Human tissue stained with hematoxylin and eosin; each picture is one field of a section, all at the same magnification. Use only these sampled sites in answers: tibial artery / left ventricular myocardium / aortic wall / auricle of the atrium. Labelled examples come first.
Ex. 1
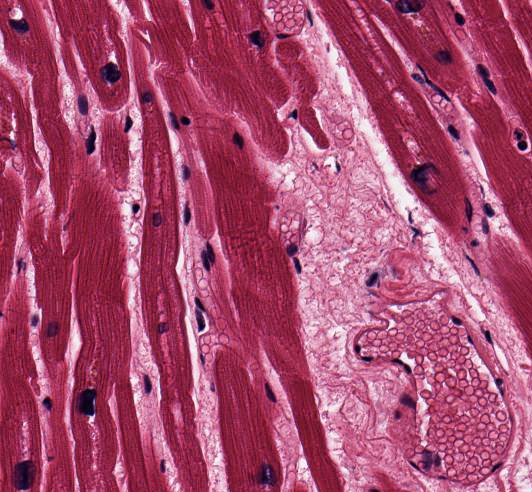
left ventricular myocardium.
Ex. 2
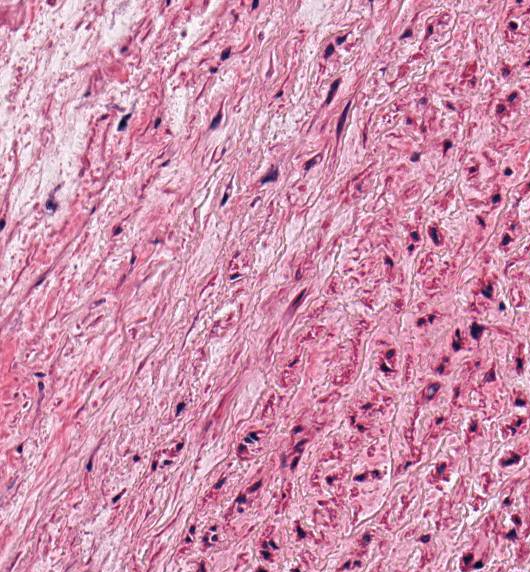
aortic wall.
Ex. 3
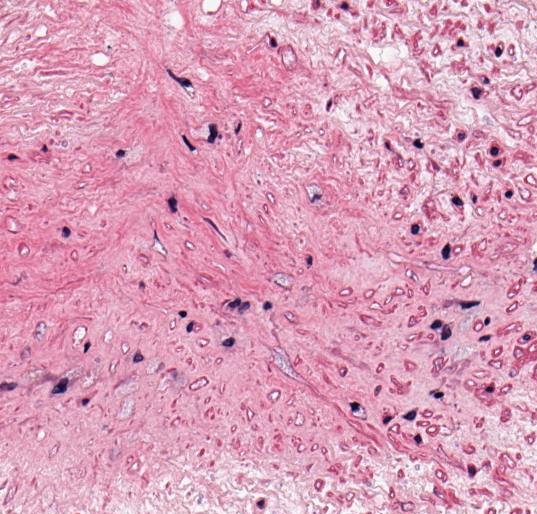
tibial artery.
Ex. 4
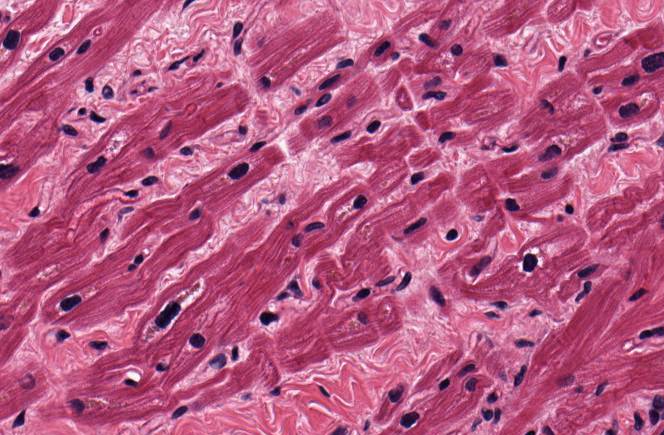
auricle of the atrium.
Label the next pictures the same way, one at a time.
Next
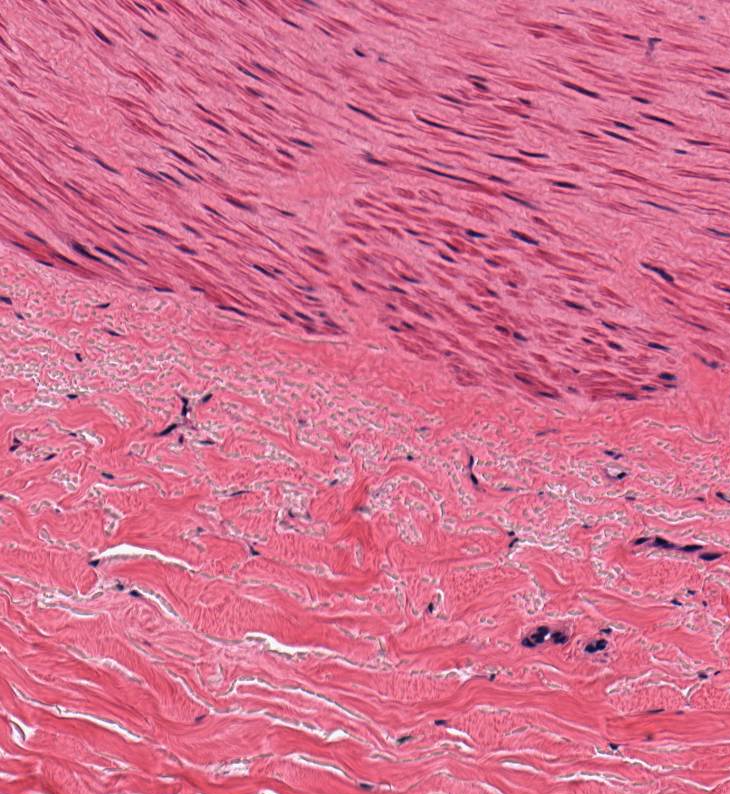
tibial artery.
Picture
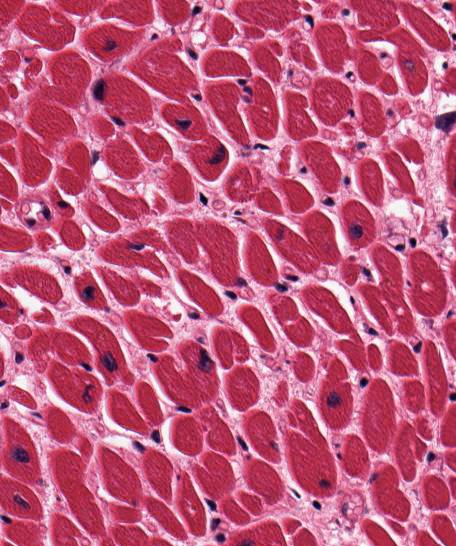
left ventricular myocardium.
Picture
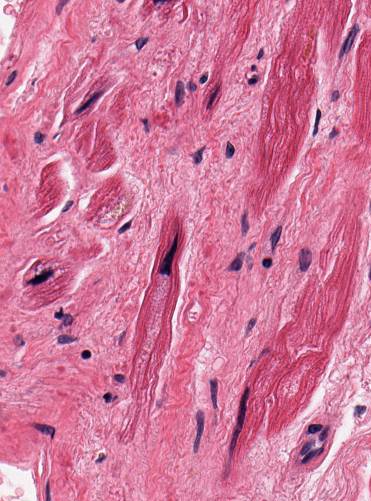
auricle of the atrium.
